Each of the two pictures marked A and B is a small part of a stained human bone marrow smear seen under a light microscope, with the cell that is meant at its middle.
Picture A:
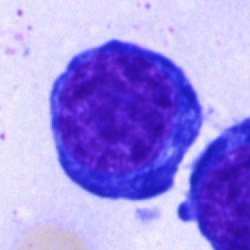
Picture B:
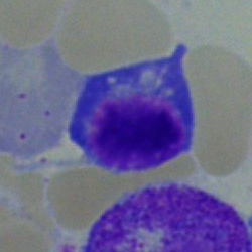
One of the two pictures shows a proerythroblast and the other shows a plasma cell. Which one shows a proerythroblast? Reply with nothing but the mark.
A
